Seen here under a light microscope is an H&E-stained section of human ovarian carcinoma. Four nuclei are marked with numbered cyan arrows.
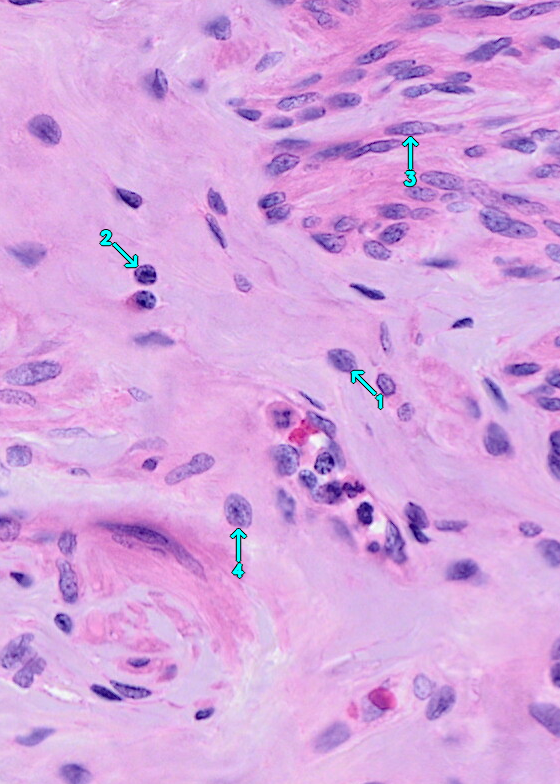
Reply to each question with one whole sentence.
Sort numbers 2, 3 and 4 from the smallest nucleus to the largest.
Smallest first, the nuclei run 2, 3, 4.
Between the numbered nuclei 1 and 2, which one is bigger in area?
Nucleus 1 is larger, with an area about 1.5 times that of nucleus 2.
